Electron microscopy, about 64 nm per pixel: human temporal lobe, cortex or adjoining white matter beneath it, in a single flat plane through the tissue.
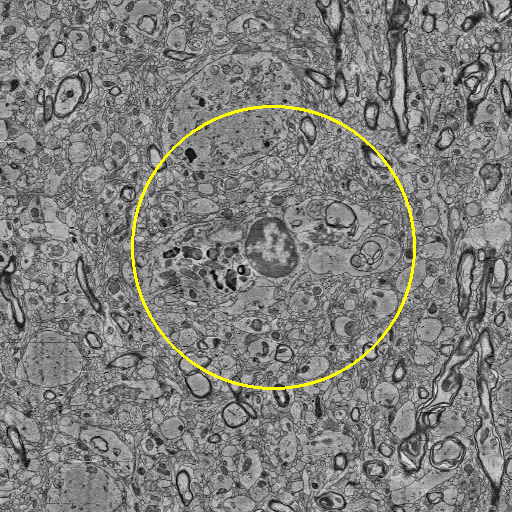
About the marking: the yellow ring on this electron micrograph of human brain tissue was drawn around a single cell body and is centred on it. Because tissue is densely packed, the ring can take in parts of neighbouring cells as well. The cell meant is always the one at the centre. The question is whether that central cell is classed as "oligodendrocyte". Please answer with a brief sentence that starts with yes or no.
No, the central cell belongs to another class.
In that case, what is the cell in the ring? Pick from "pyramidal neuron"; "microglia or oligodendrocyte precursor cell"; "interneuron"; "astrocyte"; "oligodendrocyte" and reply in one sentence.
The answer is that the ringed cell is a microglial cell or oligodendrocyte precursor cell.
